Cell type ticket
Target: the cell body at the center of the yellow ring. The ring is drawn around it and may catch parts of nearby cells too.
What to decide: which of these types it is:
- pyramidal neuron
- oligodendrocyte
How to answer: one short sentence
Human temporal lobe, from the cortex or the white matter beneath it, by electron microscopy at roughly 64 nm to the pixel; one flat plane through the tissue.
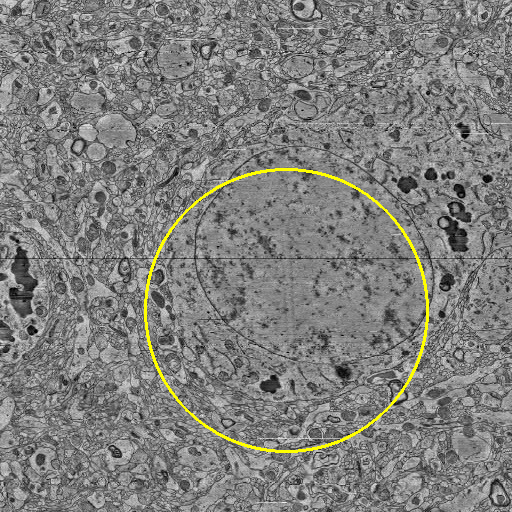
The cell at the center of the ring is a pyramidal neuron.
